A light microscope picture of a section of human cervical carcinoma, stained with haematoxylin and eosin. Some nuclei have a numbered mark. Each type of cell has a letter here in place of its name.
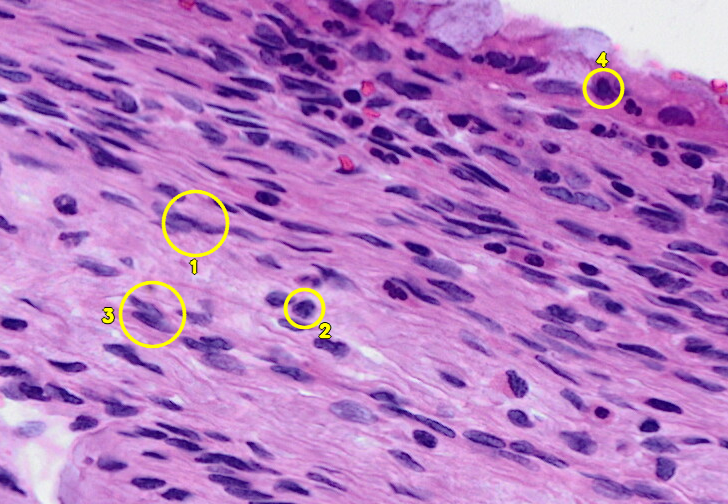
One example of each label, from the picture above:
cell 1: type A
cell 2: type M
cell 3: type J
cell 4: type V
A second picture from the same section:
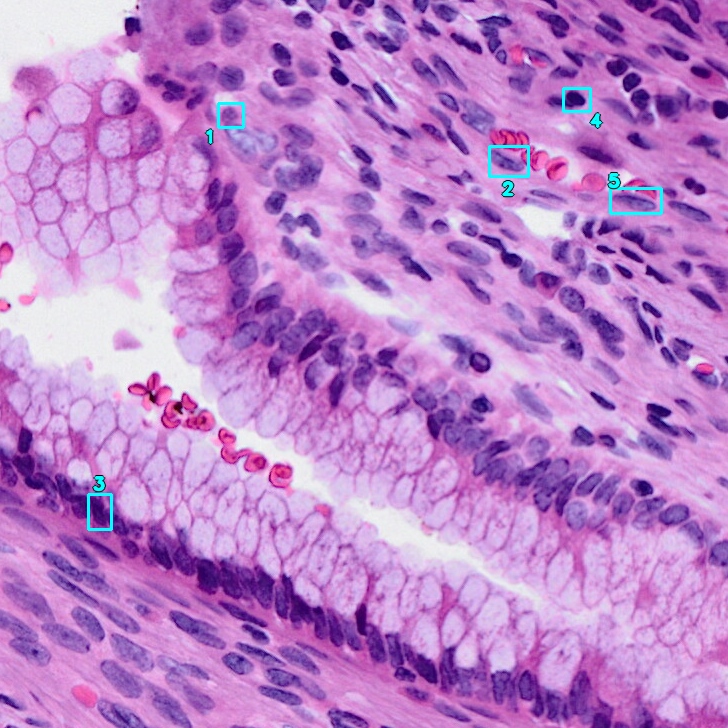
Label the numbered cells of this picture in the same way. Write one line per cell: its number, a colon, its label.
1: type J
2: type J
3: type V
4: type M
5: type J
